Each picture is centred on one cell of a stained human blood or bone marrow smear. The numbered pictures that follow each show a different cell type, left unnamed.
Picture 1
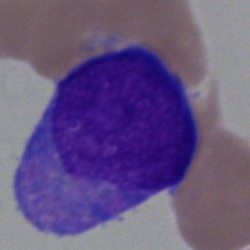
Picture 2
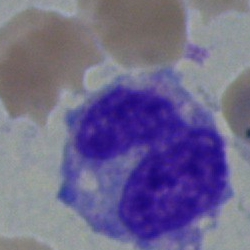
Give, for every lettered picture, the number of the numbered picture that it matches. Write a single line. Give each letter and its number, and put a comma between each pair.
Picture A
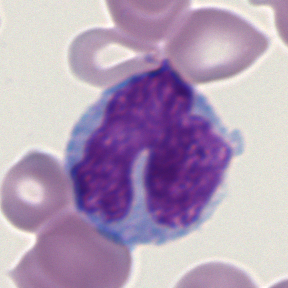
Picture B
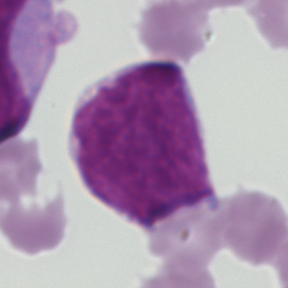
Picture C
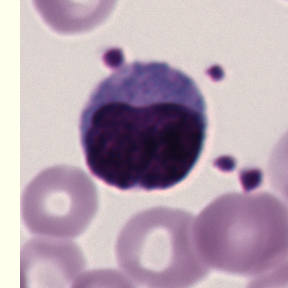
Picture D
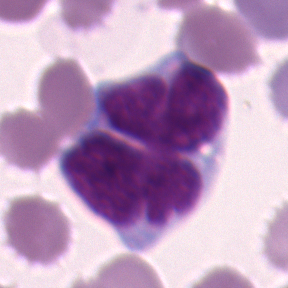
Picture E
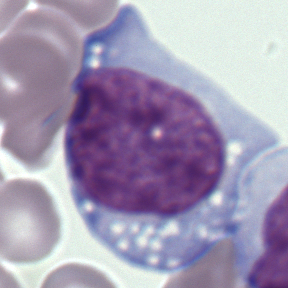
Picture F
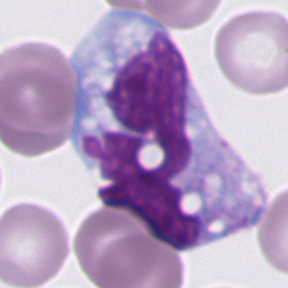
A 2, B 1, C 2, D 2, E 1, F 2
